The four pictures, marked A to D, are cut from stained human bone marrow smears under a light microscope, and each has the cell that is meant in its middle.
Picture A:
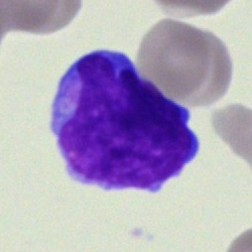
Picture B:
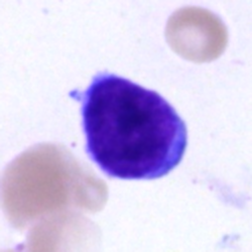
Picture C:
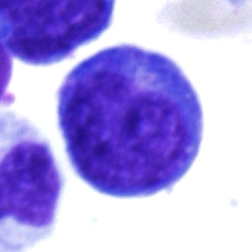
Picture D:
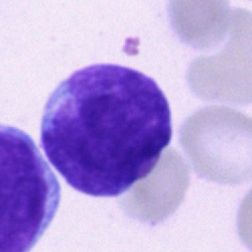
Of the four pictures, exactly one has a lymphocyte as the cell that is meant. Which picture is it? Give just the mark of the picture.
B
